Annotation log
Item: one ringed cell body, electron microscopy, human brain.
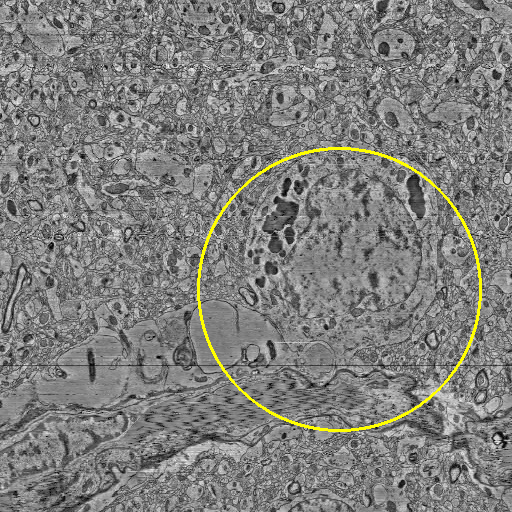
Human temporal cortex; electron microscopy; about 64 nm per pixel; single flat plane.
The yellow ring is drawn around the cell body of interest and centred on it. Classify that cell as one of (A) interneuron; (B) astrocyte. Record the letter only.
A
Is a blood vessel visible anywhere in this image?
Yes, the image shows a blood vessel.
